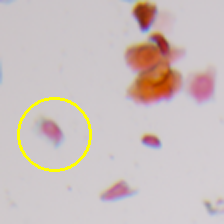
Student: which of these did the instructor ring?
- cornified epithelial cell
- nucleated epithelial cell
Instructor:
The cell I ringed is a nucleated epithelial cell.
